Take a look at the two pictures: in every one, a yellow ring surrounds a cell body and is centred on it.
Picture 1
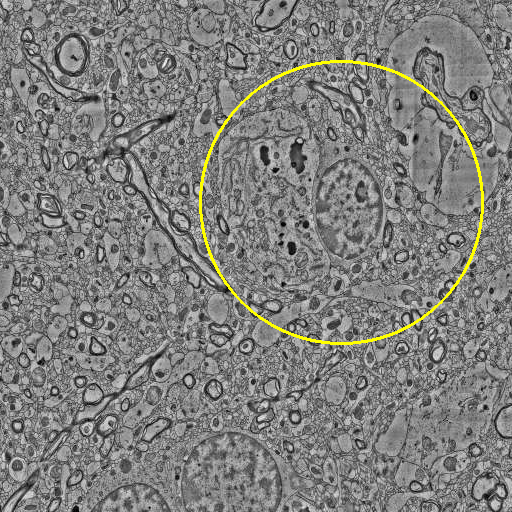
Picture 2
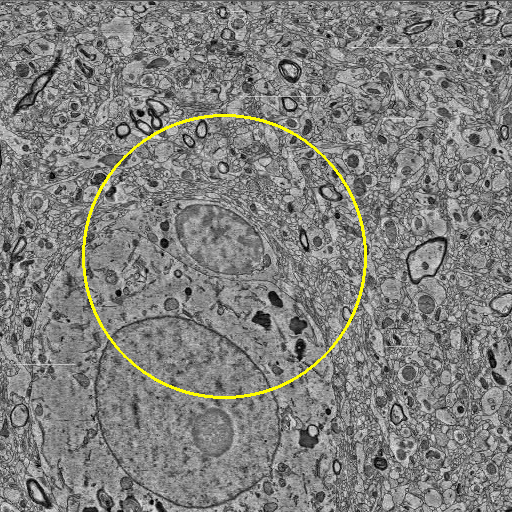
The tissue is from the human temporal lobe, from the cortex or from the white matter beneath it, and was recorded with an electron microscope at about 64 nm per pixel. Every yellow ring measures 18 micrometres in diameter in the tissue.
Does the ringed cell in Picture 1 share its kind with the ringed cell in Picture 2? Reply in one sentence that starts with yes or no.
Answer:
Yes, the two centred cells, one per picture, are of one kind.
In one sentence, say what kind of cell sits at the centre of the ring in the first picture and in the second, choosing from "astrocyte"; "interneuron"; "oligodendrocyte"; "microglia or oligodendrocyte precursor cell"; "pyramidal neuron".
In both pictures the ring is centred on an oligodendrocyte.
